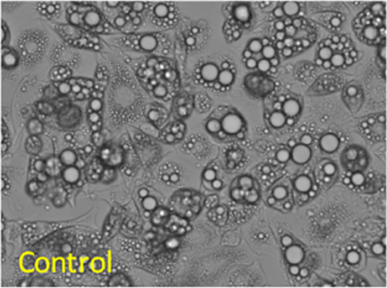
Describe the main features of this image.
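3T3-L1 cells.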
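This unstained culture shows mature adipocytes densely packed across the field. Most cells are rounded and crowded with clear, refractile, spherical lipid droplets of very different sizes, from small granules to large droplets that take up much of the cell. The droplets have dark rims and bright centres, so each cell looks like a cluster of bubbles. Between the droplet-filled cells lie flatter, spread cells with few or no droplets. The cells lie close together, with little empty space between them.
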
